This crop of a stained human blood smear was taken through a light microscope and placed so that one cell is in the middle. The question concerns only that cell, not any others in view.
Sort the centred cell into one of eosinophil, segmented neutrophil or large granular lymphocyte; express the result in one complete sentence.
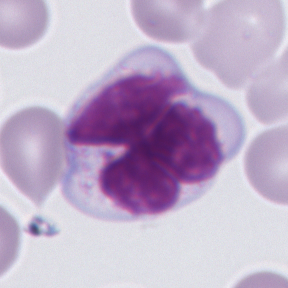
The center cell of this crop is a large granular lymphocyte.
